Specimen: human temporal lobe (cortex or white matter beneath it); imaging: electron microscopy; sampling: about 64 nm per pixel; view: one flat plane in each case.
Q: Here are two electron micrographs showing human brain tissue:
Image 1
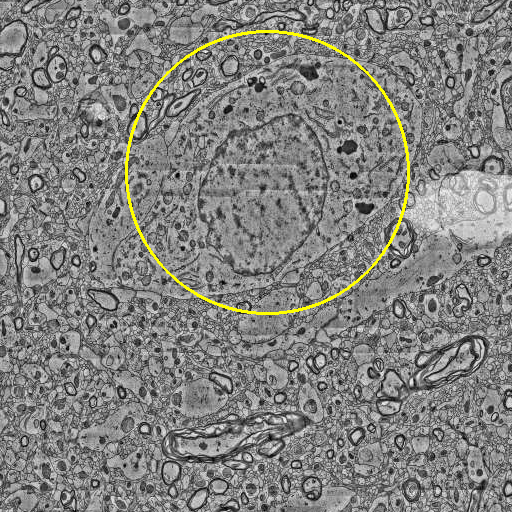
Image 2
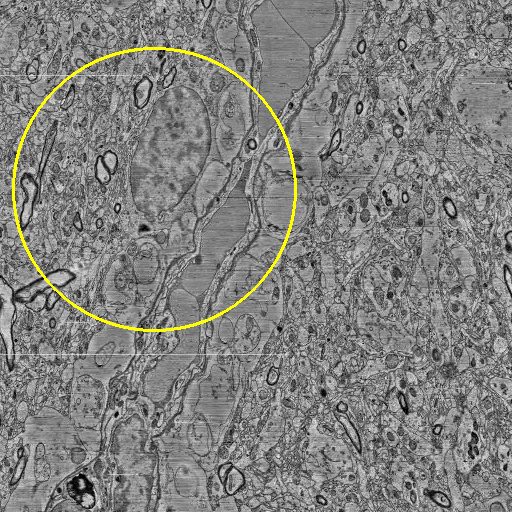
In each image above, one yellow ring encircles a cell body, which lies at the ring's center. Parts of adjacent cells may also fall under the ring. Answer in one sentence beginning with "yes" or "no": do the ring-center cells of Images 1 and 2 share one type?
No, in Images 1 and 2, the ring-center cells are of two types.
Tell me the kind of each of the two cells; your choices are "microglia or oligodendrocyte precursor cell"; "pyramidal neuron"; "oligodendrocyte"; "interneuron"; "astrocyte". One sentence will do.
The ringed cell is an interneuron in the first picture and an oligodendrocyte in the second picture.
